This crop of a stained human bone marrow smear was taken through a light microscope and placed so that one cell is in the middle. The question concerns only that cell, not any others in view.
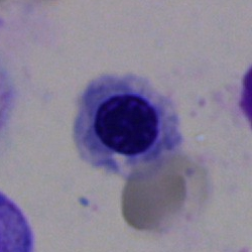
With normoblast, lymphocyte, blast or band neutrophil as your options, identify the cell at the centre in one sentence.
The identification for the central cell is a normoblast.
